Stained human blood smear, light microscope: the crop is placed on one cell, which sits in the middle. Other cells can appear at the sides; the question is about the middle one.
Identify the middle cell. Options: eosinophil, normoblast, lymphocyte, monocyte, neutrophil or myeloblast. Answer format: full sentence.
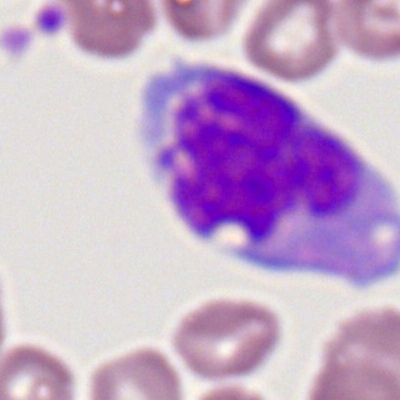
The cell of interest, in the center, is a monocyte.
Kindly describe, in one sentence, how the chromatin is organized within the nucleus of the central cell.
What stands out is chromatin that is coarsely clumped.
